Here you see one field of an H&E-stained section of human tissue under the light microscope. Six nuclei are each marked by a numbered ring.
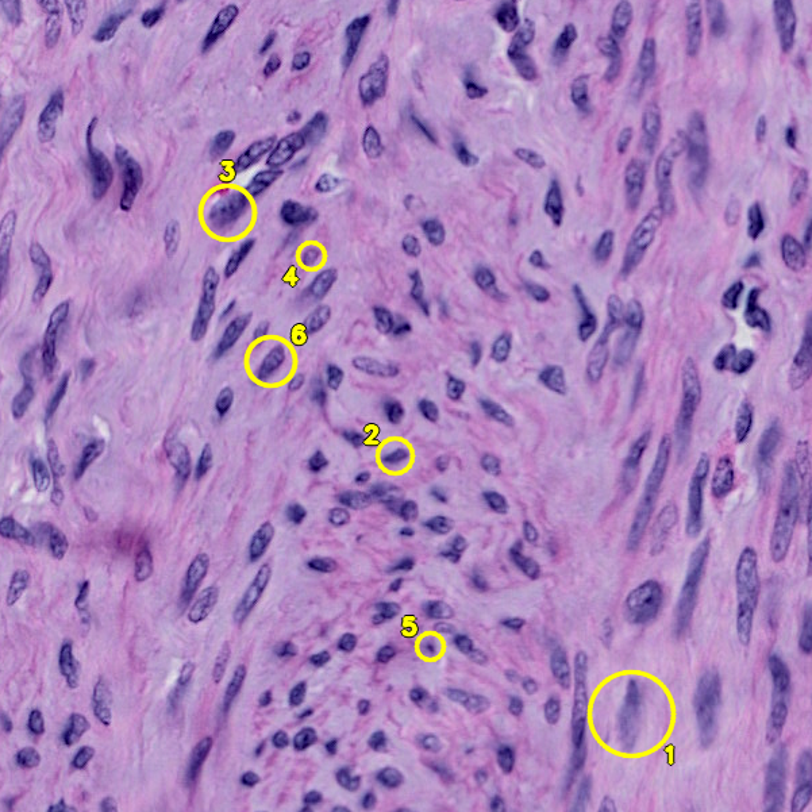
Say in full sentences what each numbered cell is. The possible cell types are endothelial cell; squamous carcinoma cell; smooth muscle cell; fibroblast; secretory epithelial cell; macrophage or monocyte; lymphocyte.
Cell 1 is a fibroblast, cell 2 is a smooth muscle cell, cell 3 is an endothelial cell, cell 4 is a smooth muscle cell, cell 5 is a smooth muscle cell and cell 6 is a smooth muscle cell.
